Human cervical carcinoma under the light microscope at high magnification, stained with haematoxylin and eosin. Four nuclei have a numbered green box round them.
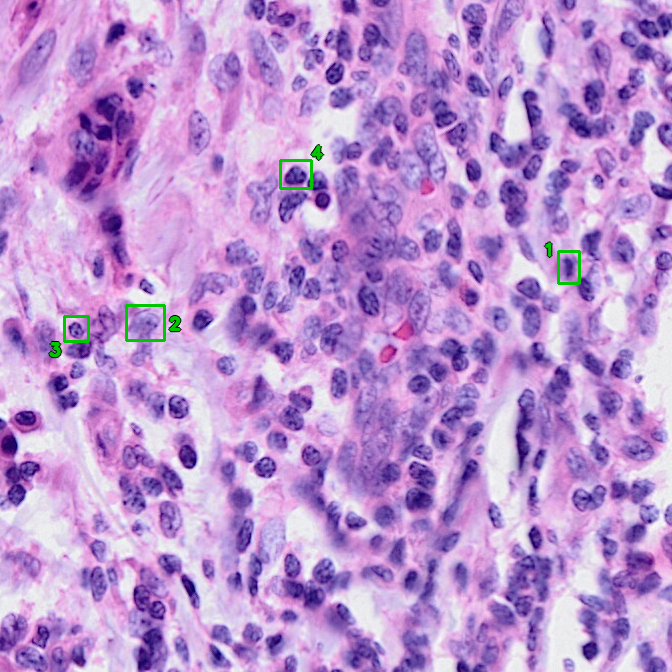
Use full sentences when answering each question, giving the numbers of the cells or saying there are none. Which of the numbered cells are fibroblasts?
Where the numbered cells are concerned, only number 2 is a fibroblast.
